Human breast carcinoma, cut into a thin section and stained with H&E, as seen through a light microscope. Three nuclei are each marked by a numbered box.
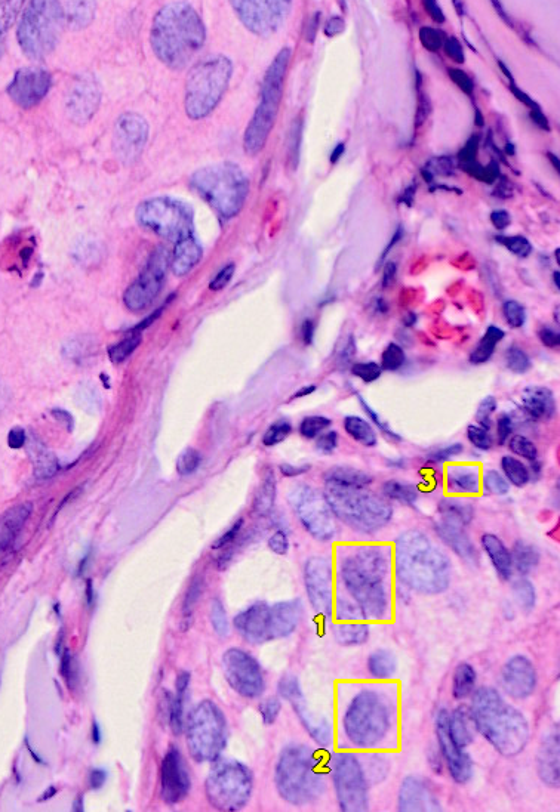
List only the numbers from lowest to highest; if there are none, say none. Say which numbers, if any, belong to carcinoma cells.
1, 2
